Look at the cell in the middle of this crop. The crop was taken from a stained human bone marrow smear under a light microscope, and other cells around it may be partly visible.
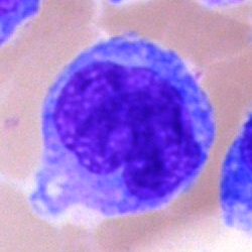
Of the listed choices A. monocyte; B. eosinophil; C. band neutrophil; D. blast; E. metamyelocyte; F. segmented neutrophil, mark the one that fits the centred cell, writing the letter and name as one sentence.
The central cell in this crop is a monocyte, so the correct choice is option A.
